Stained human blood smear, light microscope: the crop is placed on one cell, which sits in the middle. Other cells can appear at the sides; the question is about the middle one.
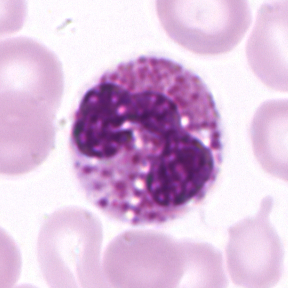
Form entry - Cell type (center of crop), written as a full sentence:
The centrally located cell in the crop is an eosinophil.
